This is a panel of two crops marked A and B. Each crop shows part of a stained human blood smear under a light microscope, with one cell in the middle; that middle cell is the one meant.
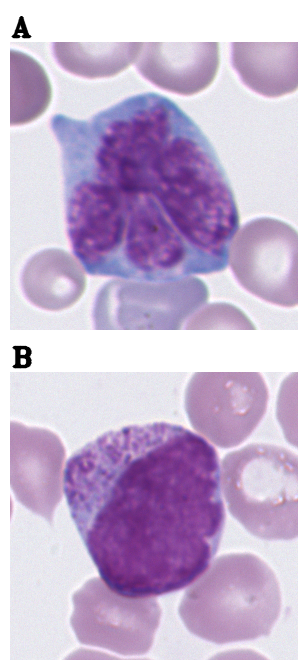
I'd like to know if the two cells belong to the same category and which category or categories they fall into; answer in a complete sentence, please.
No, crop A is to be identified as a monocyte and crop B as a promyelocyte.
